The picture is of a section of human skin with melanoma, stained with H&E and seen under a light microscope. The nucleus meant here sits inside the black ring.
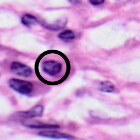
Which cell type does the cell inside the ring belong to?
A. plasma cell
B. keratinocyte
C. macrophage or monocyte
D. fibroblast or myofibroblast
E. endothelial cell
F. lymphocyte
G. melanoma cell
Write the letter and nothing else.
A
